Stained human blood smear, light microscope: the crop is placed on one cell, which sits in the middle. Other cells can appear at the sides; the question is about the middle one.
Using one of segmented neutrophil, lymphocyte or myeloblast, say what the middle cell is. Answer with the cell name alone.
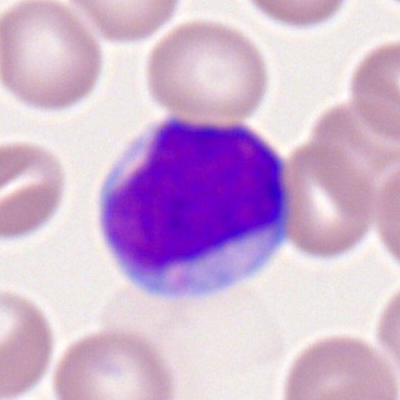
myeloblast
